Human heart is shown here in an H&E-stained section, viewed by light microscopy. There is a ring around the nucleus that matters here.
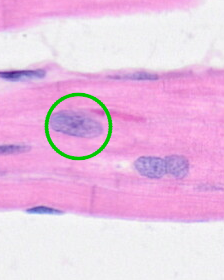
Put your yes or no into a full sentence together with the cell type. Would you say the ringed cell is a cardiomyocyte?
Yes, the ringed cell has been classified as a cardiomyocyte.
